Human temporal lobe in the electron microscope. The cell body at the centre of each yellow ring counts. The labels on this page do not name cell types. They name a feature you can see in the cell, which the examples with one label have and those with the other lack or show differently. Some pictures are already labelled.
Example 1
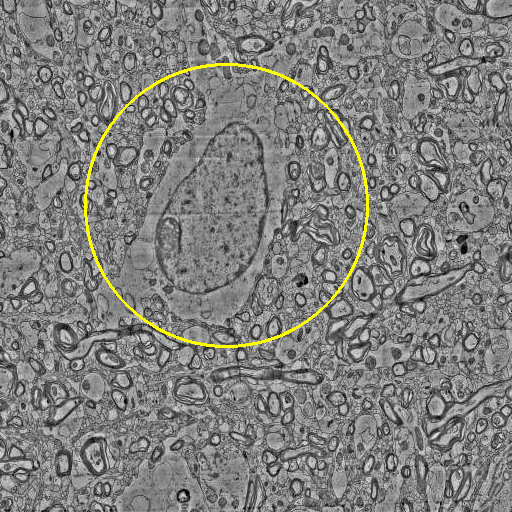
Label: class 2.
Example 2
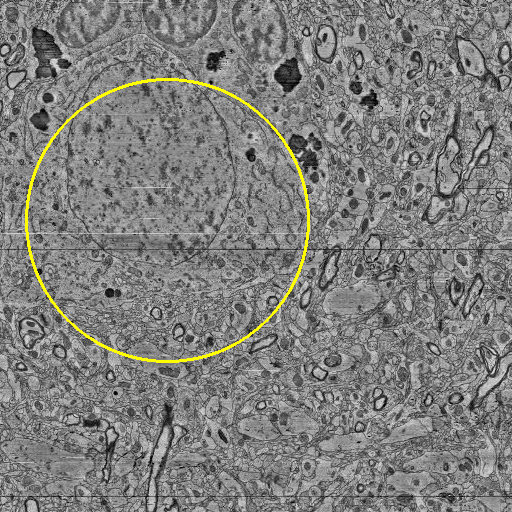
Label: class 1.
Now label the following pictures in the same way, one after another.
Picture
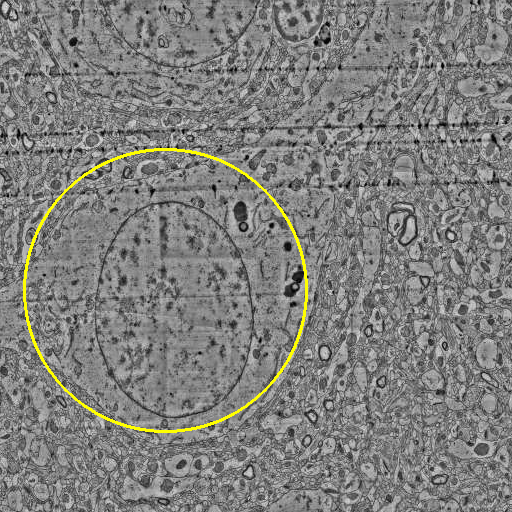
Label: class 1.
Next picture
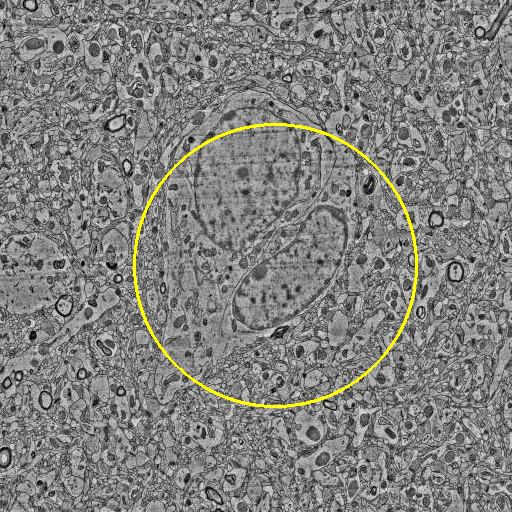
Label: class 1.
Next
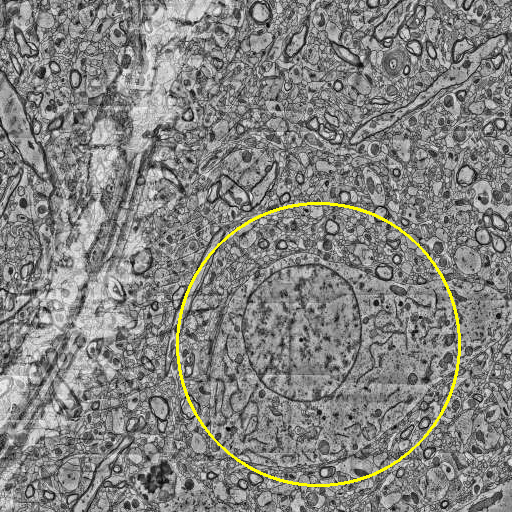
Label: class 1.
